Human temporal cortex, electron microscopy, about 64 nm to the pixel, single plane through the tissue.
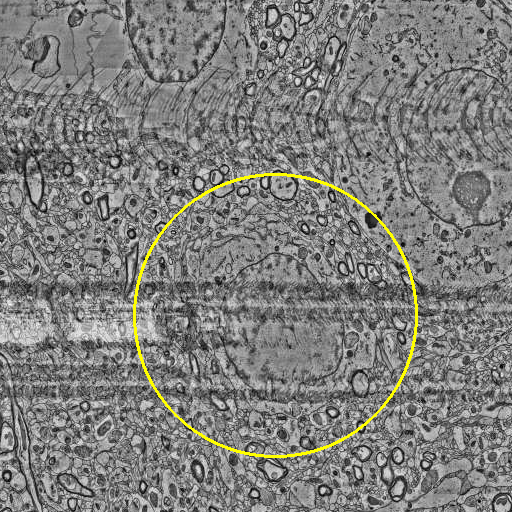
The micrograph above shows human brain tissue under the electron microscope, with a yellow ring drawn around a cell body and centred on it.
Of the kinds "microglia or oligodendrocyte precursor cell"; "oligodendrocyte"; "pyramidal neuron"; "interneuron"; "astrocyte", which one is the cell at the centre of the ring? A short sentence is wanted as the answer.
The one at the centre of the ring is a pyramidal neuron.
